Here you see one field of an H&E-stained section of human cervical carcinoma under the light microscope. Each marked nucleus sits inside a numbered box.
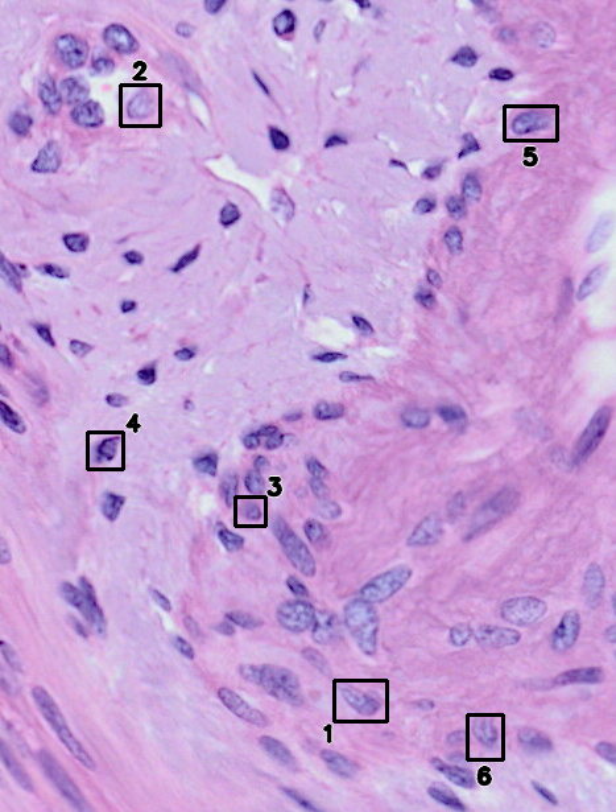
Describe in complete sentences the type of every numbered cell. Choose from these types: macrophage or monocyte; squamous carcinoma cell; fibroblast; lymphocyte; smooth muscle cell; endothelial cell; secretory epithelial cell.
Cells 1, 3, 5 and 6 are smooth muscle cells. Cell 2 is an endothelial cell. Cell 4 is a fibroblast.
